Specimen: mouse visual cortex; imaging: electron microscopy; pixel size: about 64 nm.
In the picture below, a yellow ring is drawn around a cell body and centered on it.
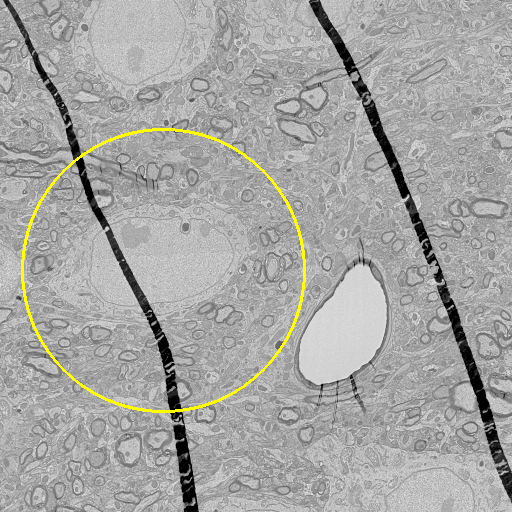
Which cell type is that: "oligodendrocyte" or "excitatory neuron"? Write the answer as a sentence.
The cell centered in the ring is an excitatory neuron.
